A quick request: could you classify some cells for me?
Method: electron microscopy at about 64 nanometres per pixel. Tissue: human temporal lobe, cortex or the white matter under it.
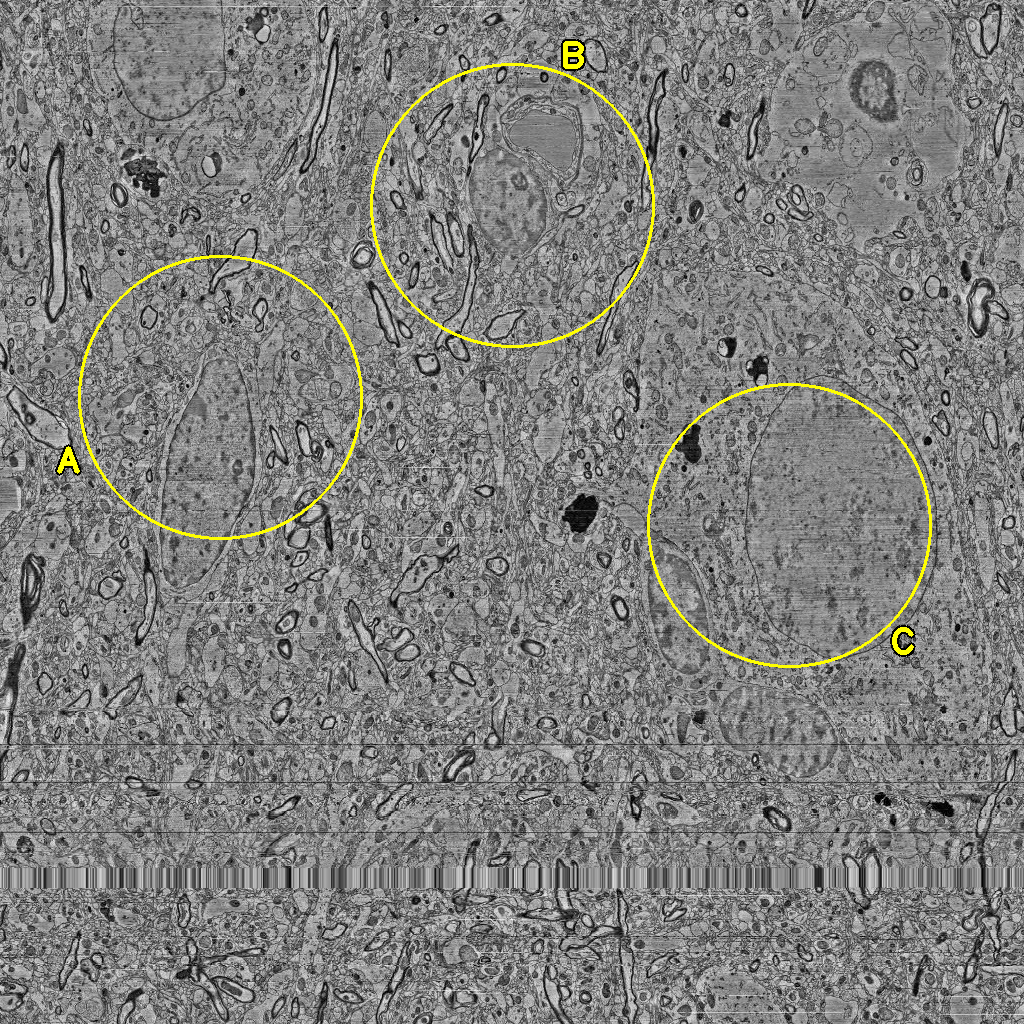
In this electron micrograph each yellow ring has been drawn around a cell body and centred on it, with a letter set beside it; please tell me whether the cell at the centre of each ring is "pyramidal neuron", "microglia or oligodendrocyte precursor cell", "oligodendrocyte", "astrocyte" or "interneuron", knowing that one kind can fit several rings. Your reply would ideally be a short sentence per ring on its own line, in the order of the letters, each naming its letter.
Ring A has a microglial cell or oligodendrocyte precursor cell at its centre.
Ring B has an oligodendrocyte at its centre.
Ring C has a pyramidal neuron at its centre.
